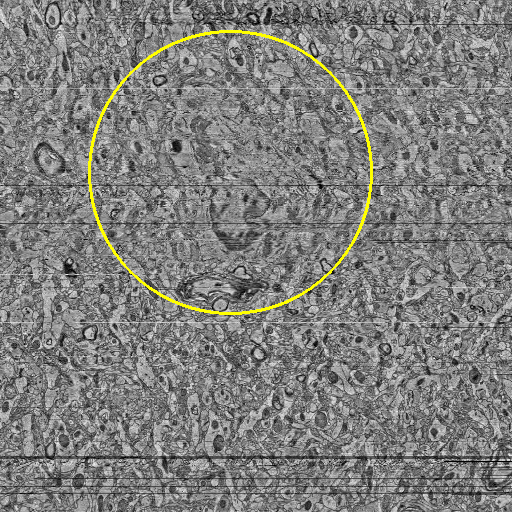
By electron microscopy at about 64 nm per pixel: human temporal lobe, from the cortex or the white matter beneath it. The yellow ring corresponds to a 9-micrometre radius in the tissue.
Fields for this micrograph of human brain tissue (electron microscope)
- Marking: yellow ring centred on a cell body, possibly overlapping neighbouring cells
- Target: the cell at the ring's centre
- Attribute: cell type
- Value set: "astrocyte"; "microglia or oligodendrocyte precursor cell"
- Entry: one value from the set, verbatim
microglia or oligodendrocyte precursor cell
